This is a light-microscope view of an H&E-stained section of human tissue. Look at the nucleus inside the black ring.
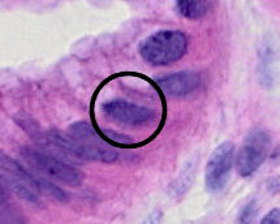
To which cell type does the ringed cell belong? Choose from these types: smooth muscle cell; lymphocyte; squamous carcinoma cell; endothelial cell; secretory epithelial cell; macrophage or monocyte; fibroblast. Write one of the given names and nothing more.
secretory epithelial cell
